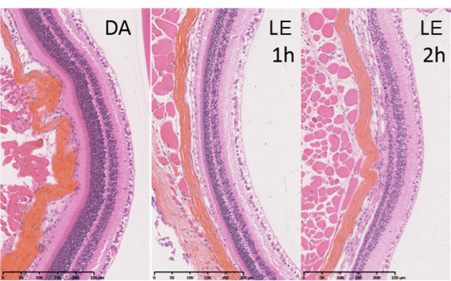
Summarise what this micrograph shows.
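Three cross-sections of retina are shown side by side, each with its layers running vertically. Outside the retina lies an orange-stained fibrous coat, and in the middle and right sections pink cross-sectioned muscle fibres lie beyond it. Within the retina, a broad band of densely packed, dark purple nuclei forms the outer nuclear layer, and a narrower band of nuclei forms the inner nuclear layer, with a sparse single row of nuclei in the ganglion cell layer at the inner edge and pale pink layers between. In the rightmost section, the outer nuclear layer is thinner relative to the inner nuclear layer than in the left section.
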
